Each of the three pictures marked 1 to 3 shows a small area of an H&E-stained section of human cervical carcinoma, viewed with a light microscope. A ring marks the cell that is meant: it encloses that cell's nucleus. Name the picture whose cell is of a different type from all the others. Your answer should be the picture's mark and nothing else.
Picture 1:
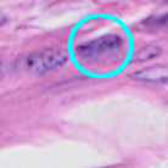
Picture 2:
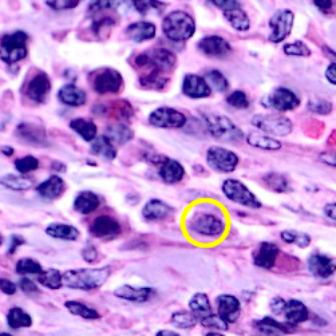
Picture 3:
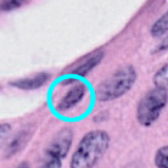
2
